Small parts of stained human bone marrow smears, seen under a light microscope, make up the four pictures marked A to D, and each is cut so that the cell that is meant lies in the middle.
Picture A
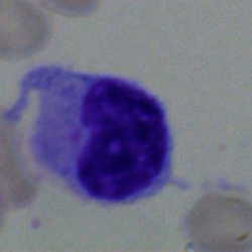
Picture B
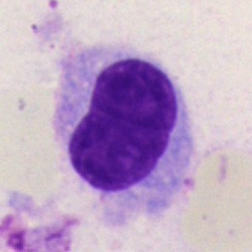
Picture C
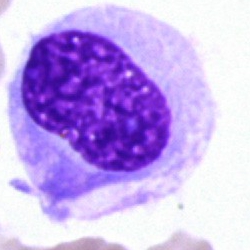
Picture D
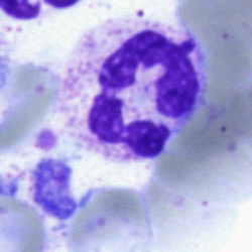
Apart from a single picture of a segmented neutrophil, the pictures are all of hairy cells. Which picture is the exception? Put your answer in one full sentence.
The picture with the segmented neutrophil is D.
